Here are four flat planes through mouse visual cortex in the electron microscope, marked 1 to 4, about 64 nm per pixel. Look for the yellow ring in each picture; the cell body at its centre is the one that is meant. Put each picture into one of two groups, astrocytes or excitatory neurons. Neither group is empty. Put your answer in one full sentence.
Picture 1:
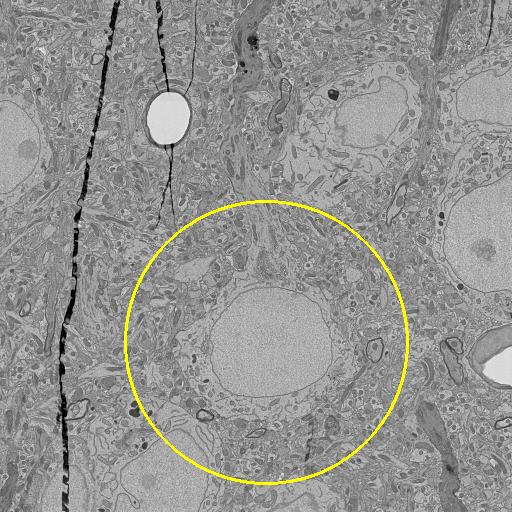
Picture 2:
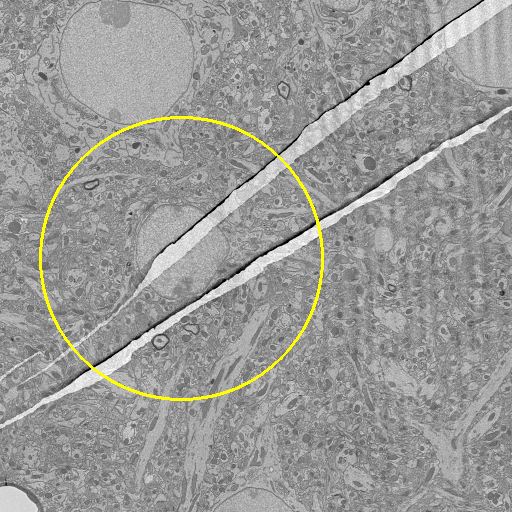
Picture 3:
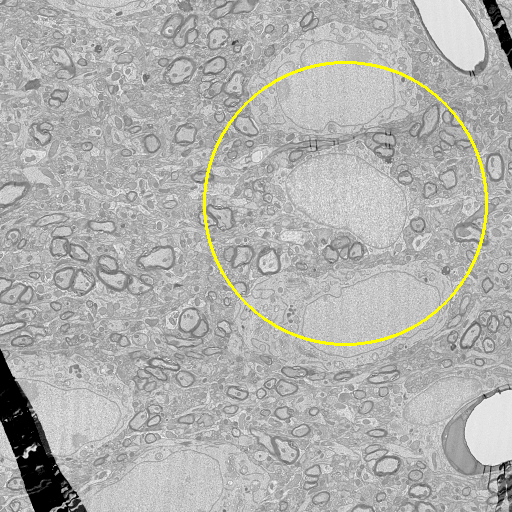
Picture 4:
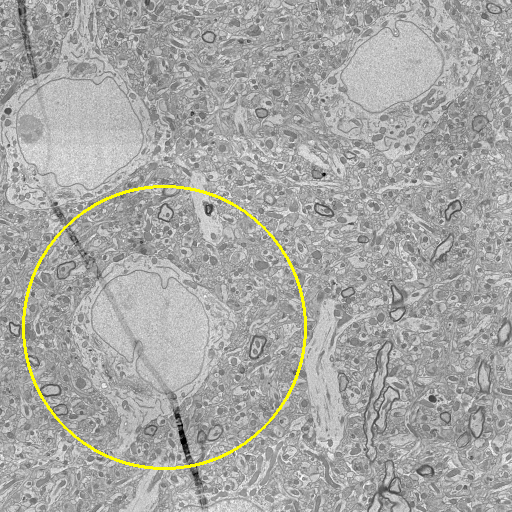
Pictures 2 and 3 show astrocytes; pictures 1 and 4 show excitatory neurons.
